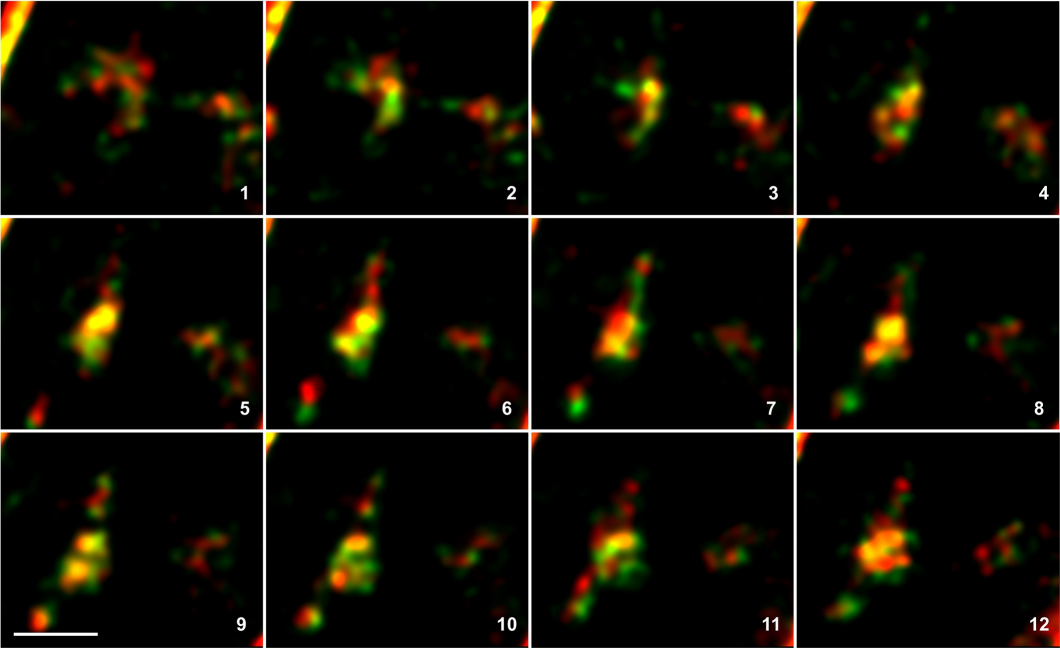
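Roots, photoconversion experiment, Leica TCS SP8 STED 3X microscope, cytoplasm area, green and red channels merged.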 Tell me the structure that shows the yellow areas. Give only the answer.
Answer: Larger aggregates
